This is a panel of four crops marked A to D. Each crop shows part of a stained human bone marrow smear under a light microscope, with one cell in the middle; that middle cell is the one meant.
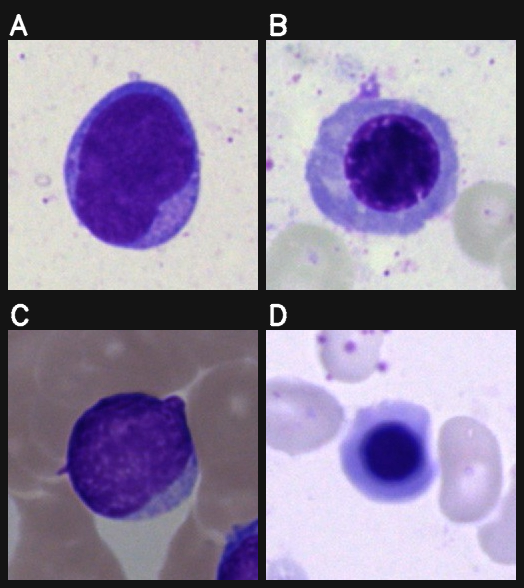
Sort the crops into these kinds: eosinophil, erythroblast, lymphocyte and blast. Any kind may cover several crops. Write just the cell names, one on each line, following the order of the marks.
blast
erythroblast
blast
erythroblast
